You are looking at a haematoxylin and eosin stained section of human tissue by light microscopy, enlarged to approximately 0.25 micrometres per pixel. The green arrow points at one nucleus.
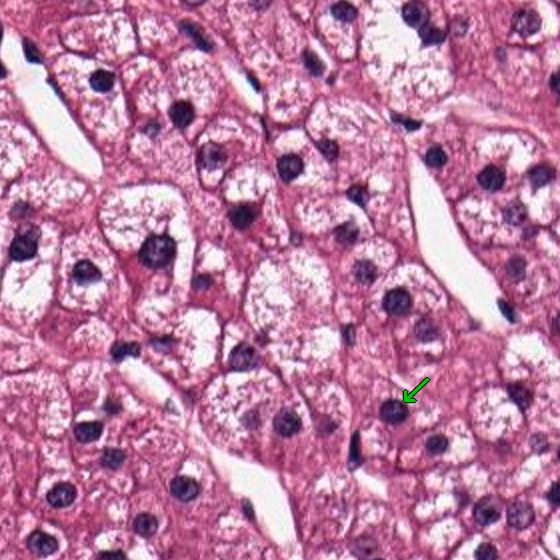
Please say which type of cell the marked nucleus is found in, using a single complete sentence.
The marked nucleus is found in an adrenal cortical cell.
